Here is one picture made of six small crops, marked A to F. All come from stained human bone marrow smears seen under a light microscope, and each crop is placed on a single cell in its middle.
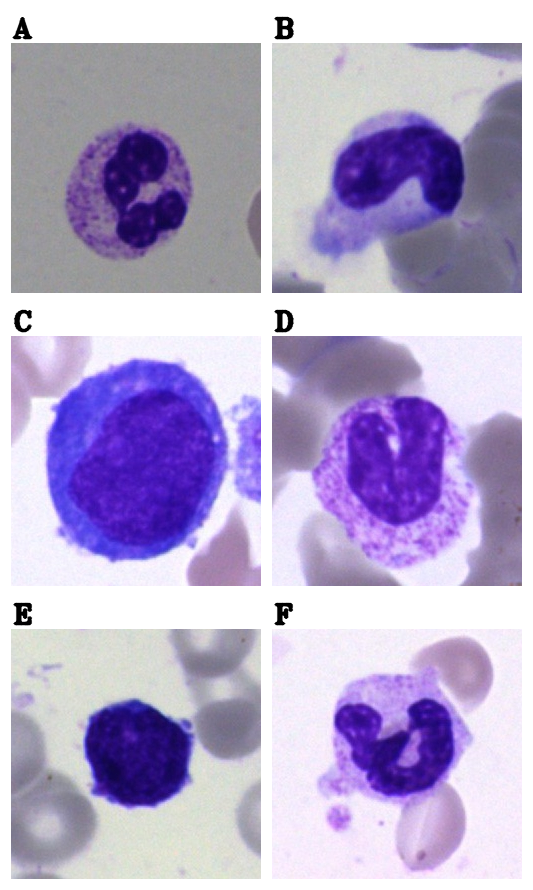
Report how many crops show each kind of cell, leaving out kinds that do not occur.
segmented neutrophil: 2
band neutrophil: 2
blast: 2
